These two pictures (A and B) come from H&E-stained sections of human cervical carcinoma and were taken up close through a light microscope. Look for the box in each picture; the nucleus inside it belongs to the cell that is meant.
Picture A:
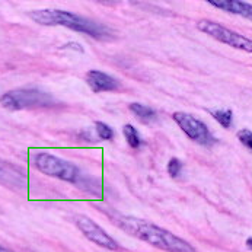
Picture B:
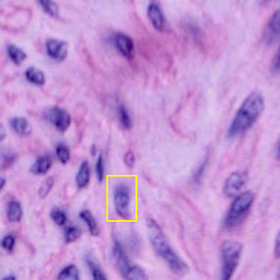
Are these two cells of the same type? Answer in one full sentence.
Yes, both are smooth muscle cells.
